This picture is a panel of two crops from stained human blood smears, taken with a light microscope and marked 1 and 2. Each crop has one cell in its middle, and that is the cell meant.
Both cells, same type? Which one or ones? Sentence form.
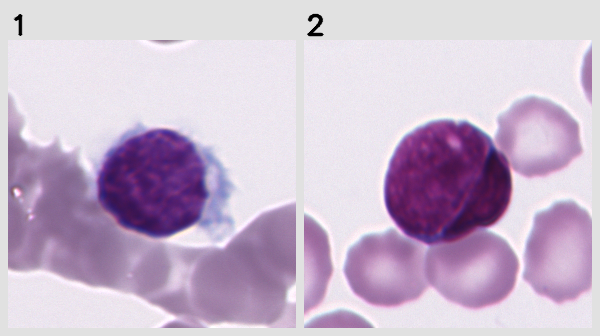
No, a hairy cell and a myeloblast are found in crop 1 and crop 2, respectively.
